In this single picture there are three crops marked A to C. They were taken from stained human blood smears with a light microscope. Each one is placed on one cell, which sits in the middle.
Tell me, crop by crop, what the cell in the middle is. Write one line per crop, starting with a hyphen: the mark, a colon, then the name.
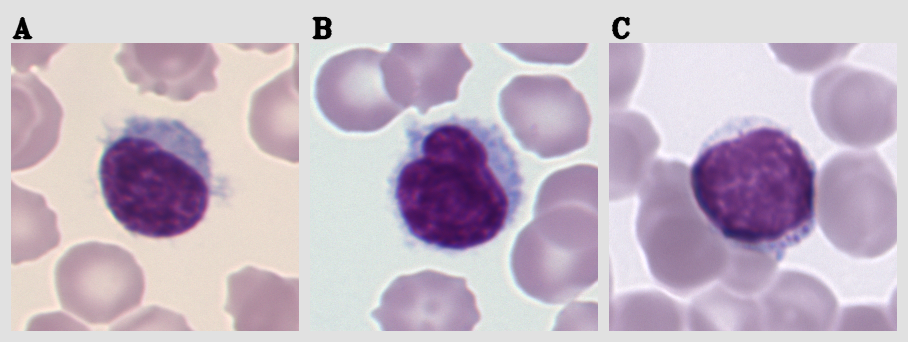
- A: hairy cell
- B: hairy cell
- C: large granular lymphocyte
